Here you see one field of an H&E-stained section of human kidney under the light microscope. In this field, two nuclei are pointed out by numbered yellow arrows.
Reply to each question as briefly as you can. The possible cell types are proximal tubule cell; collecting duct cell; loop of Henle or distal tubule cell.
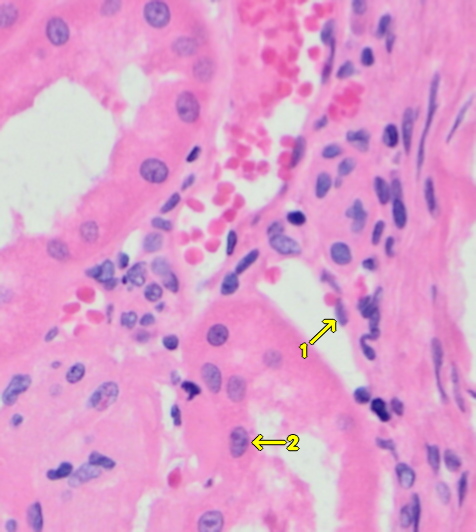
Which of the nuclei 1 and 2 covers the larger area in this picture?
2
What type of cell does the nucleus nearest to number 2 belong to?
proximal tubule cell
